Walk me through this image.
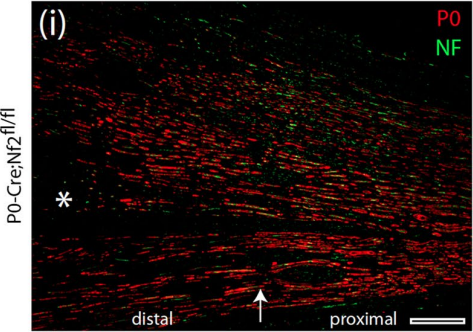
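A longitudinal section of peripheral nerve shows many red, elongated, sausage-shaped profiles aligned along the fibre direction, with fine green strands among them. The red profiles are grouped into streams separated by dark bands. On the left side a broad dark area holds few red profiles and only faint green dots, unlike the densely packed streams to the right and below.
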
